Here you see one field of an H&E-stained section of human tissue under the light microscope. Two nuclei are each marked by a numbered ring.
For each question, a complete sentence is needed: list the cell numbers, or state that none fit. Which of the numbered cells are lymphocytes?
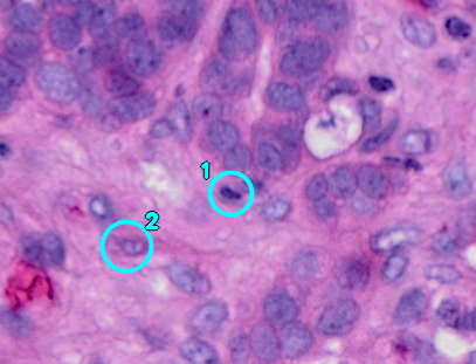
Among the cells marked with numbers, the only one that is a lymphocyte is number 1.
